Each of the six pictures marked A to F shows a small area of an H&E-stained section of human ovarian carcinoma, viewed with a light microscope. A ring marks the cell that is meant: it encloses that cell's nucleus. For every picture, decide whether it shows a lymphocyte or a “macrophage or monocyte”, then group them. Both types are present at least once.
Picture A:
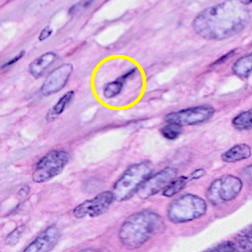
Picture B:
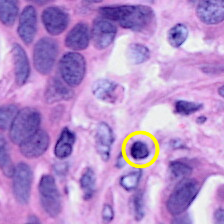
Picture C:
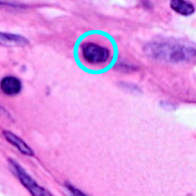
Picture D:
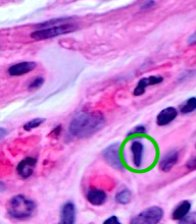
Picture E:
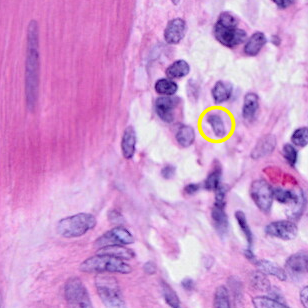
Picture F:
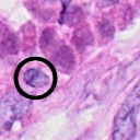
A: macrophage or monocyte
B: lymphocyte
C: lymphocyte
D: lymphocyte
E: macrophage or monocyte
F: macrophage or monocyte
